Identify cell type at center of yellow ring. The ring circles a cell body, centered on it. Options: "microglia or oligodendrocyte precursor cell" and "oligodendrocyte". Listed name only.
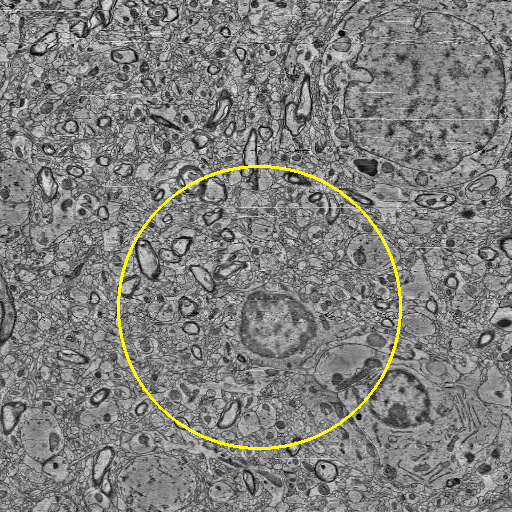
oligodendrocyte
